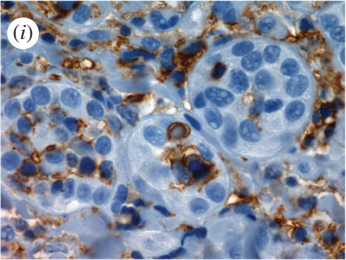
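The brown-stained cells are irregular in outline, with short branching extensions reaching between their neighbours. They crowd the spaces around the nests, and a few sit at or within the edge of a cluster. The tumour cells in the nests are larger and paler, with oval blue nuclei and clear cytoplasm, and remain unstained.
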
